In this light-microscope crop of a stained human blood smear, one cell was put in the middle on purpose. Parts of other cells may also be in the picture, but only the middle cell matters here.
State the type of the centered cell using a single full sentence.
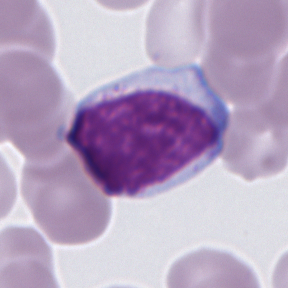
The target cell in the middle of the crop is a large granular lymphocyte.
